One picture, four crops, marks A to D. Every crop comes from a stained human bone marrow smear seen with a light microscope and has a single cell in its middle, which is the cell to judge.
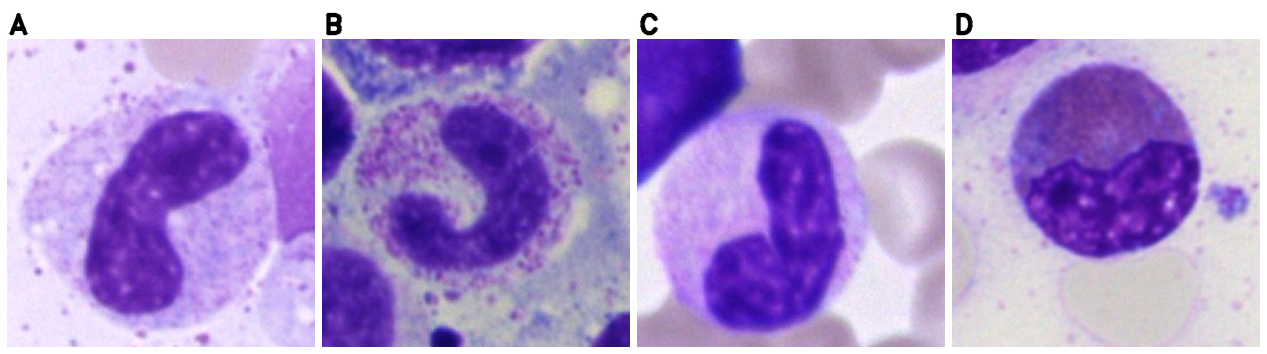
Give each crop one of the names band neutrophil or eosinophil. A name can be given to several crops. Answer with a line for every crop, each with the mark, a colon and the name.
A: band neutrophil
B: band neutrophil
C: band neutrophil
D: eosinophil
